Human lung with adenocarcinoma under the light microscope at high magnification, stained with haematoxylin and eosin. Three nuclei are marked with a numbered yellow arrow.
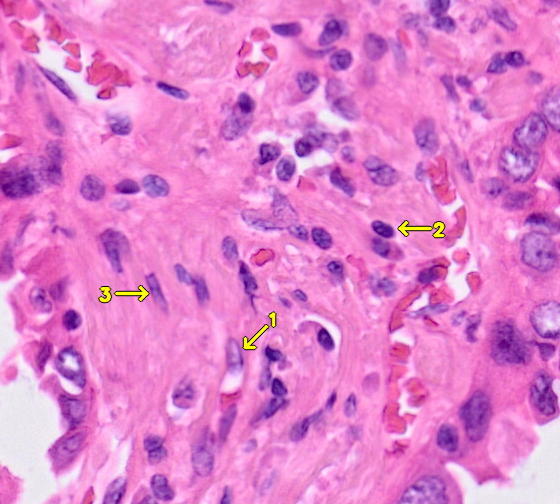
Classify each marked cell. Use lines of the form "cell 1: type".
cell 1: endothelial cell
cell 2: lymphocyte
cell 3: smooth muscle cell or pericyte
